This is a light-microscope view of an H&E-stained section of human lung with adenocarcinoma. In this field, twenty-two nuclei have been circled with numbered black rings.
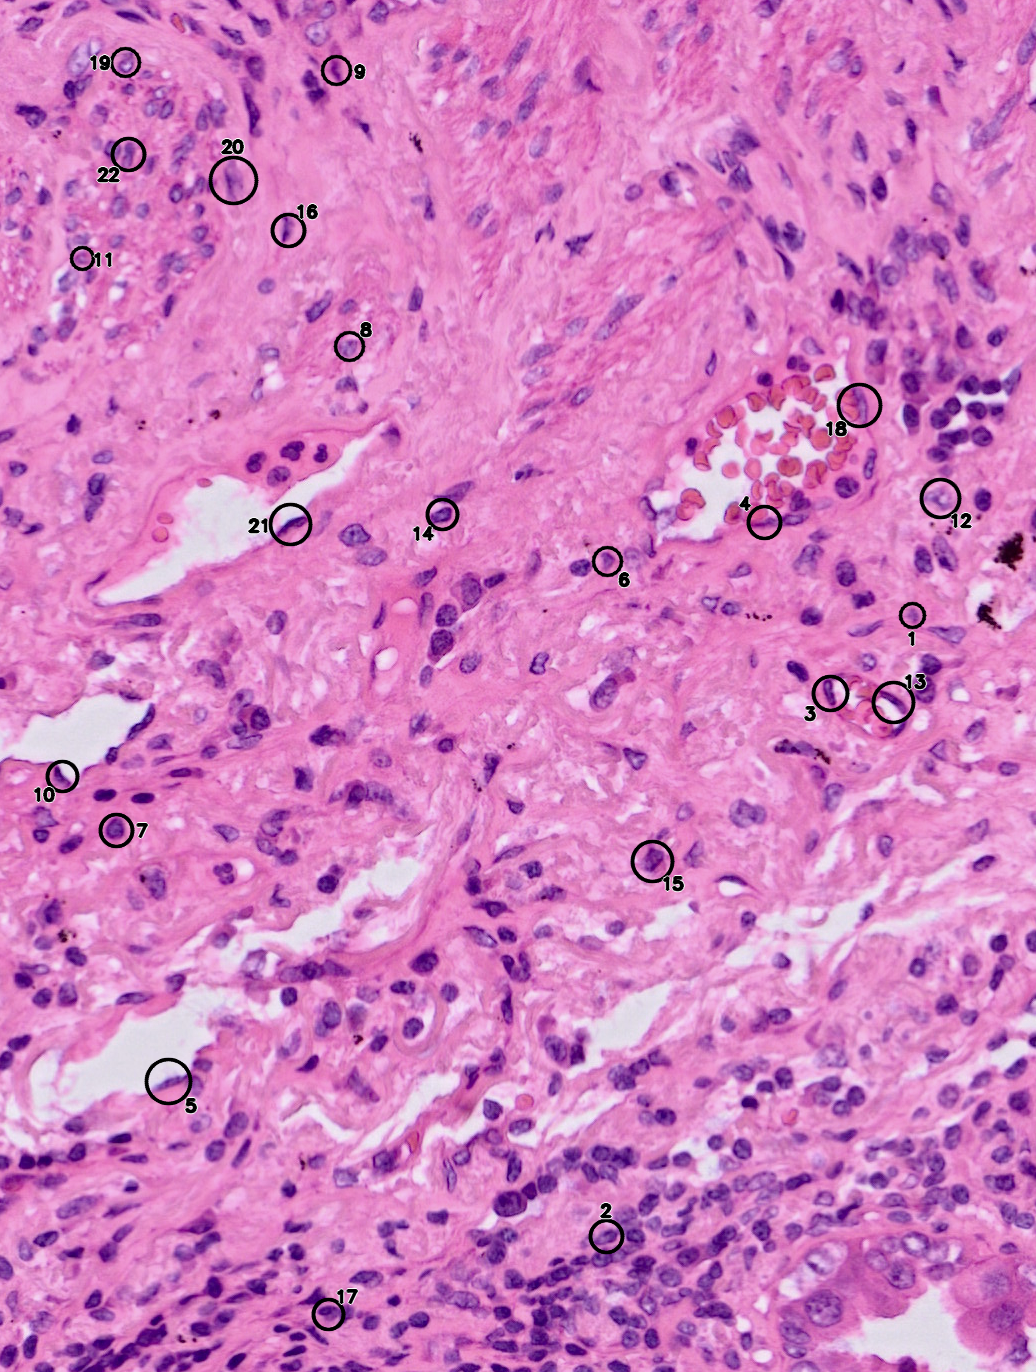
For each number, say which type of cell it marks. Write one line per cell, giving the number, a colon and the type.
1: mast cell
2: lymphocyte
3: endothelial cell
4: endothelial cell
5: endothelial cell
6: mast cell
7: mast cell
8: smooth muscle cell or pericyte
9: plasma cell
10: endothelial cell
11: smooth muscle cell or pericyte
12: fibroblast
13: endothelial cell
14: mast cell
15: plasma cell
16: fibroblast
17: lymphocyte
18: endothelial cell
19: smooth muscle cell or pericyte
20: fibroblast
21: endothelial cell
22: smooth muscle cell or pericyte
